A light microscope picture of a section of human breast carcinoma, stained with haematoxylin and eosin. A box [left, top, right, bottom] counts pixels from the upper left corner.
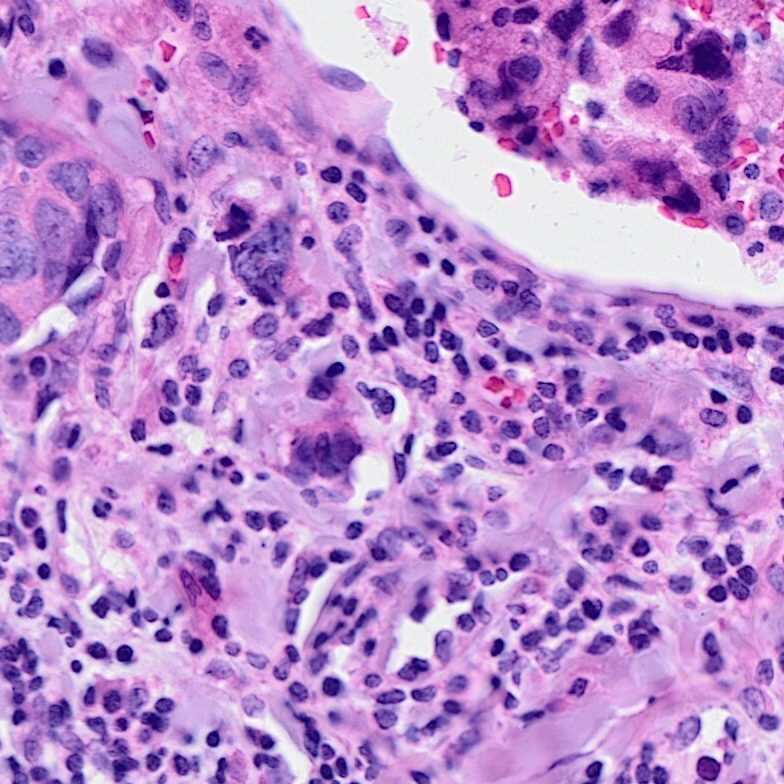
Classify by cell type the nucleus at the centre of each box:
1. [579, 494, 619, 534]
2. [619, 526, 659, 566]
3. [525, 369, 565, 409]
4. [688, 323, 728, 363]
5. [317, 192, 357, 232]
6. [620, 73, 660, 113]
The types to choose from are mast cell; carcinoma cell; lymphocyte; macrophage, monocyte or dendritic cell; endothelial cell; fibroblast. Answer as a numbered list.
1. lymphocyte
2. lymphocyte
3. lymphocyte
4. lymphocyte
5. mast cell
6. carcinoma cell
